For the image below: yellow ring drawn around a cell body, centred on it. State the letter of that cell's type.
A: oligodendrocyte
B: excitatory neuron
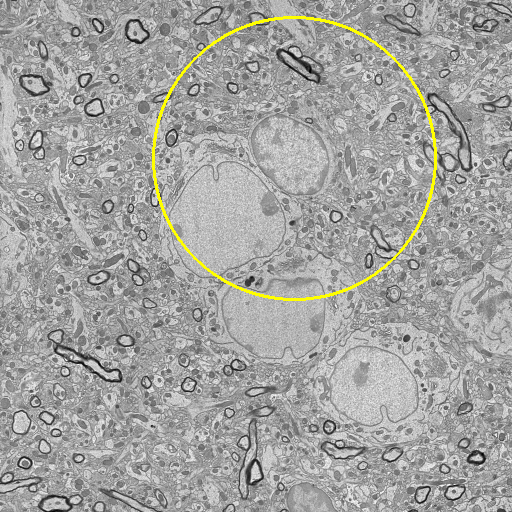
A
